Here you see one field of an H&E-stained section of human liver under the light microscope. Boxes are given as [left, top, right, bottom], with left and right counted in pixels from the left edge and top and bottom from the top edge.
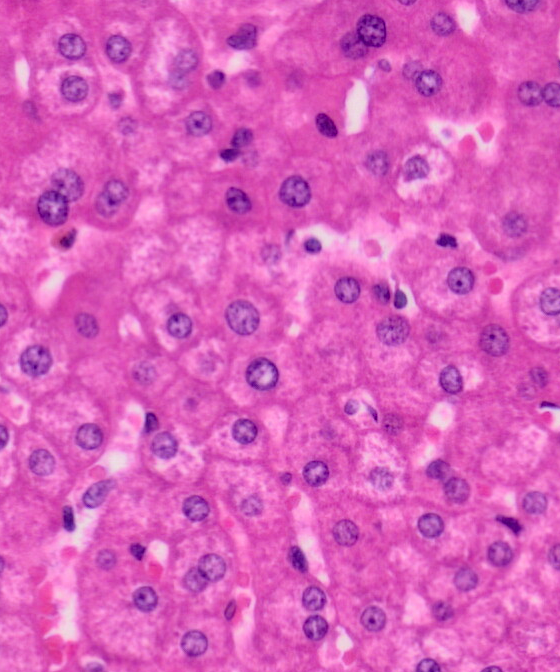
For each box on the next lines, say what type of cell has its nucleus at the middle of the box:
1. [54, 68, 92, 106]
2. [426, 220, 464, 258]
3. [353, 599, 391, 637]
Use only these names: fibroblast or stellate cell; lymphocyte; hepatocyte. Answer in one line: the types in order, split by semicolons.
hepatocyte; fibroblast or stellate cell; hepatocyte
